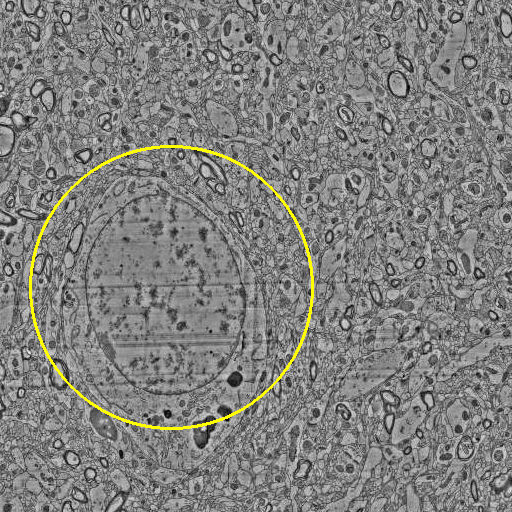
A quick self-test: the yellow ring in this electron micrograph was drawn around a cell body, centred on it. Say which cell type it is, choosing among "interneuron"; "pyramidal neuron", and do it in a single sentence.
The yellow-ringed cell is a pyramidal neuron.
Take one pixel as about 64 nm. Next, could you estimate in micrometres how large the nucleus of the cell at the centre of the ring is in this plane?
About 13 by 10 micrometers, in this plane.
